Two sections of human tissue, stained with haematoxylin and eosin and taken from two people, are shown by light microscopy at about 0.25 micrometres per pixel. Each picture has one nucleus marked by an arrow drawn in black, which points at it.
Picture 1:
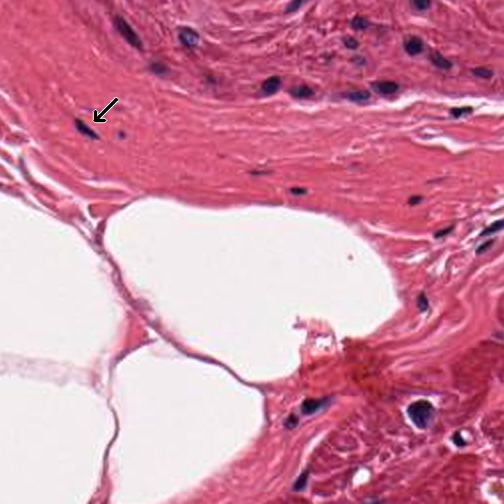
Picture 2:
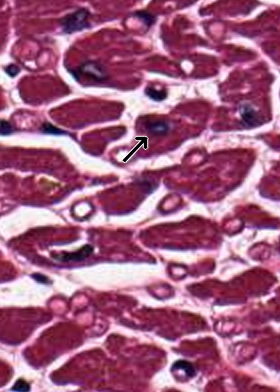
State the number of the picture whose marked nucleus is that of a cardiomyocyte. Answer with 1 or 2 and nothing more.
2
